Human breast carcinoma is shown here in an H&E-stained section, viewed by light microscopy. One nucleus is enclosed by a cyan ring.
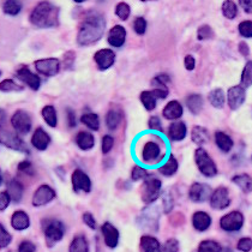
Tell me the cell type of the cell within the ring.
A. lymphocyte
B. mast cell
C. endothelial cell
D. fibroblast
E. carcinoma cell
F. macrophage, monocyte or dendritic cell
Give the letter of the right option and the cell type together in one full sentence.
Option A holds, since the cell within the ring is a lymphocyte.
